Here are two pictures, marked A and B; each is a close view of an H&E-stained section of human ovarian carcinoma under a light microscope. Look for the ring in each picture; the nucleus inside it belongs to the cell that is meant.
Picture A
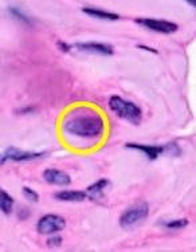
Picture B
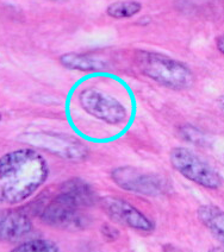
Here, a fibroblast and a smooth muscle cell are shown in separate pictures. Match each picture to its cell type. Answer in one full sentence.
Picture A shows a smooth muscle cell and picture B shows a fibroblast.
